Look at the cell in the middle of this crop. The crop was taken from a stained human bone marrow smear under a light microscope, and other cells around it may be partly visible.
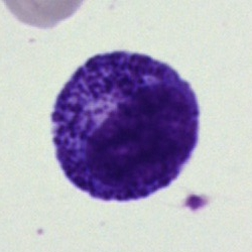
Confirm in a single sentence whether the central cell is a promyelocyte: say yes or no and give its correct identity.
Yes, the central element of the crop is a promyelocyte.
